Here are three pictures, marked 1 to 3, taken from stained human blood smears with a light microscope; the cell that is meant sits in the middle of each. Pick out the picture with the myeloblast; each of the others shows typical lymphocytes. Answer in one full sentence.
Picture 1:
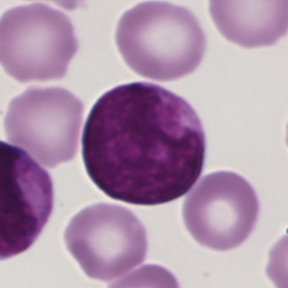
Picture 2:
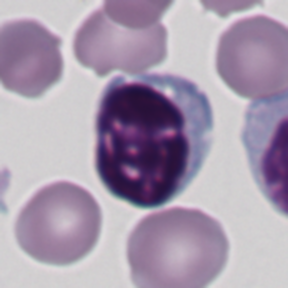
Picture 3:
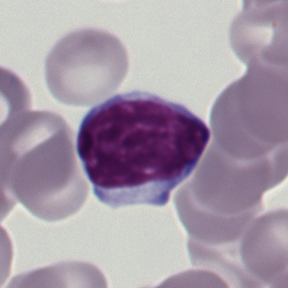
It is picture 1 that shows the myeloblast.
